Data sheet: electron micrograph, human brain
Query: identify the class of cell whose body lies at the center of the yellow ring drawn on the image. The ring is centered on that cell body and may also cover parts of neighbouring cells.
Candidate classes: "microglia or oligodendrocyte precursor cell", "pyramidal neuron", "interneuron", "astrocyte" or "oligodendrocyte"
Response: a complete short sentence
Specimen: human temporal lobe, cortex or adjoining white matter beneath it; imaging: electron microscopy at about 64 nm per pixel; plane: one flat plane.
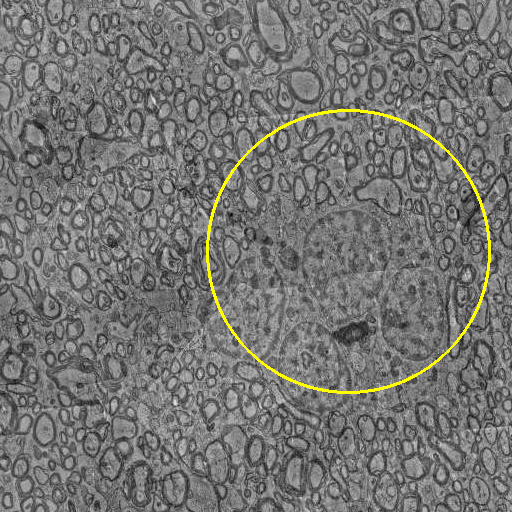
At the center of the ring lies an oligodendrocyte.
